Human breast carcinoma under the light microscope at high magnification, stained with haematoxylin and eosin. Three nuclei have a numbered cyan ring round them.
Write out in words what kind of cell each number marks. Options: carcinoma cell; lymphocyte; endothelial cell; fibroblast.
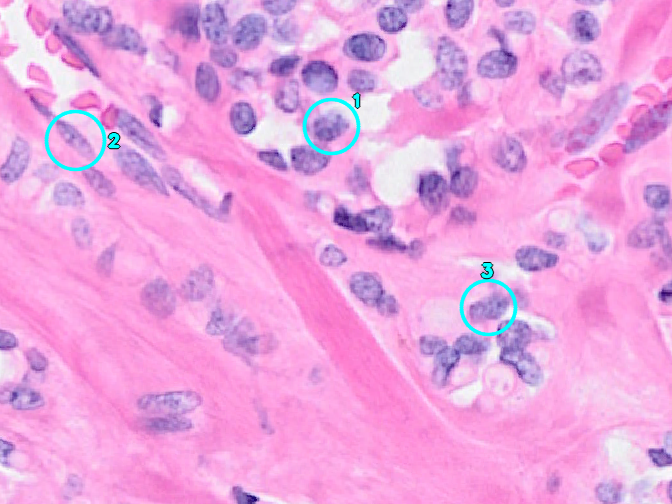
Cell 1 is a carcinoma cell, cell 2 is an endothelial cell and cell 3 is a carcinoma cell.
